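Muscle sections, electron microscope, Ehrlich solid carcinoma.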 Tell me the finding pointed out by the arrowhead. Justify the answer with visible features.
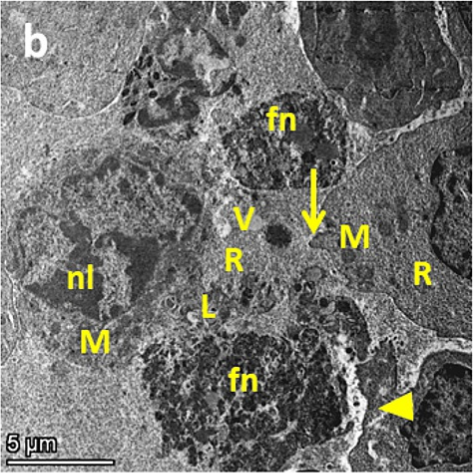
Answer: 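The arrowhead points at a pale gap between two neighbouring cells. The gap is wider than the narrow contacts between other cells in the field.
Hence: widened intercellular space.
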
